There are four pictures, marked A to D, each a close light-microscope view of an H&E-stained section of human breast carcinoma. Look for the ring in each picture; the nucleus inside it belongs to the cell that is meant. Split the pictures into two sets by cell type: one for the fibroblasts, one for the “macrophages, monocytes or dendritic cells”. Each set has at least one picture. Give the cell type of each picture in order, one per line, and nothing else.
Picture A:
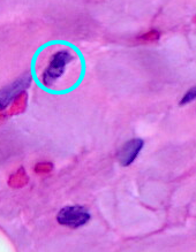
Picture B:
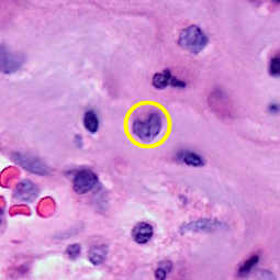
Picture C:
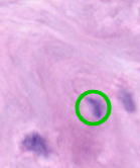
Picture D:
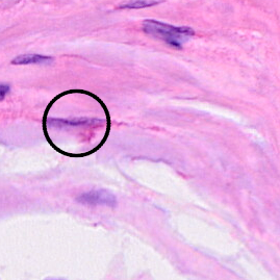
fibroblast
macrophage, monocyte or dendritic cell
fibroblast
fibroblast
